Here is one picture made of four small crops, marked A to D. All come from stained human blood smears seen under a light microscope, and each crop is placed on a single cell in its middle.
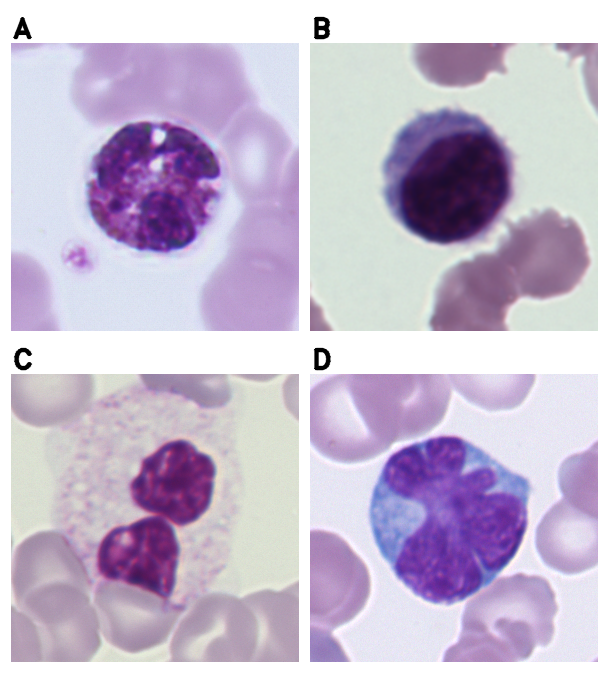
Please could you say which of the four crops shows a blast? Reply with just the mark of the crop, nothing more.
D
